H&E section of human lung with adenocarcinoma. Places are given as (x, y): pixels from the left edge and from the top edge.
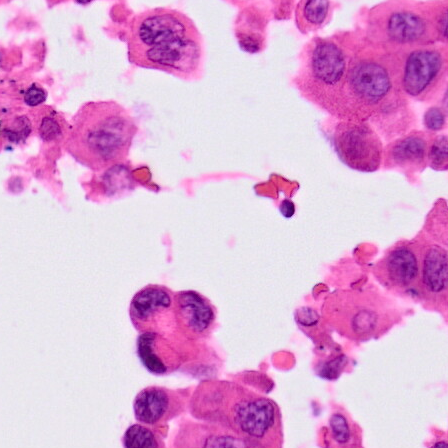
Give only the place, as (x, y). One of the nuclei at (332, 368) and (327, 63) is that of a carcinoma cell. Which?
(327, 63)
